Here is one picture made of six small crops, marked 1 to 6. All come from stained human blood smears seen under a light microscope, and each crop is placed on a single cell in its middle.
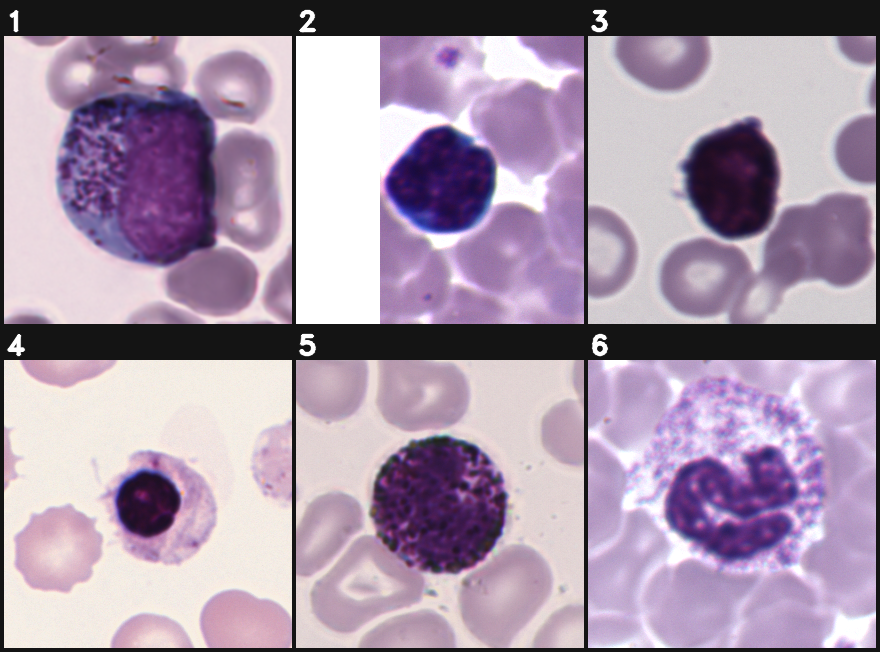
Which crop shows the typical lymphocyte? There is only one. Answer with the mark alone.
2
